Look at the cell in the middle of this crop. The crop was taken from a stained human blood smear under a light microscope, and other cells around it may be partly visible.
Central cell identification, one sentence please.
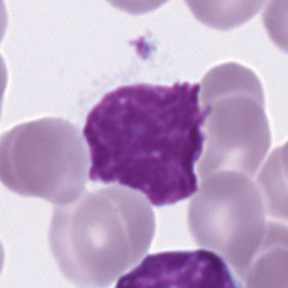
Where the crop is centred, there is a smudge cell.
